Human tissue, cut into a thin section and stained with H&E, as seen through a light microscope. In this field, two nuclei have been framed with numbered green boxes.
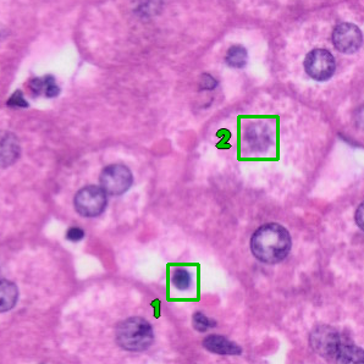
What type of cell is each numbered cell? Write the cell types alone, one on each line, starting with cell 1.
lymphocyte
hepatocyte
